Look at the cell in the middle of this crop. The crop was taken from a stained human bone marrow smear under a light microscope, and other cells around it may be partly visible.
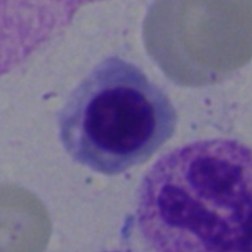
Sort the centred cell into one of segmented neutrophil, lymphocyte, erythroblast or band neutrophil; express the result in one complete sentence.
For this crop, the central cell is an erythroblast.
